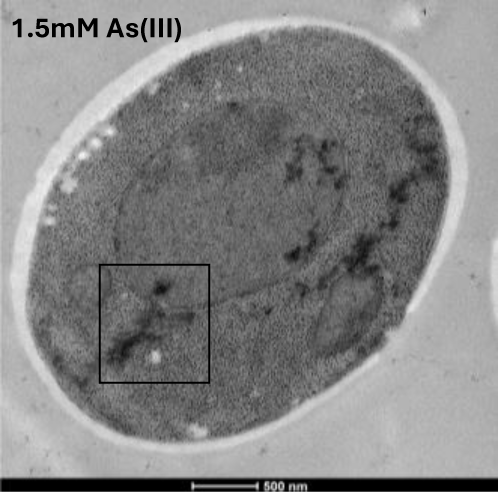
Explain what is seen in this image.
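Transmission electron micrograph of a single oval yeast cell surrounded by a thick, pale cell wall. The cytoplasm is finely granular and densely packed. A large rounded nucleus occupies the middle of the cell, bounded by a thin membrane outline. Dark, irregular clumps of electron dense content lie along the nuclear edge and in the nearby cytoplasm. A boxed area at the lower left frames one of these dark branching clumps next to the nuclear boundary.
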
